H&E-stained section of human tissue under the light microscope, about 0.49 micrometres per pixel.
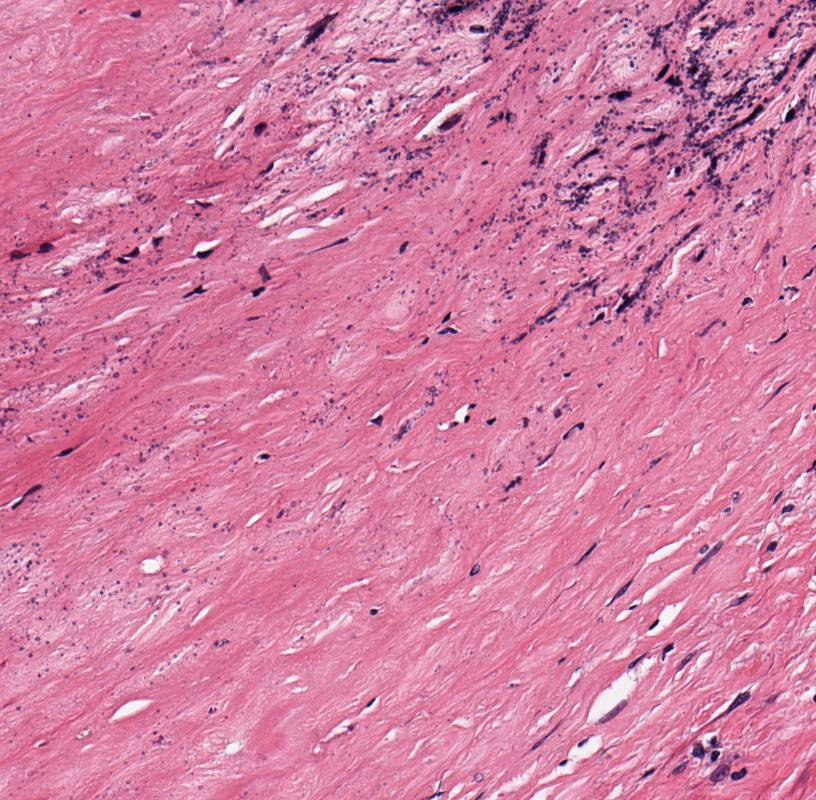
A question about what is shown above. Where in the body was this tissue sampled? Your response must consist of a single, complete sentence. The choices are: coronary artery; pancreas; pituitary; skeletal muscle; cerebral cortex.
The specimen was sampled from the coronary artery.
